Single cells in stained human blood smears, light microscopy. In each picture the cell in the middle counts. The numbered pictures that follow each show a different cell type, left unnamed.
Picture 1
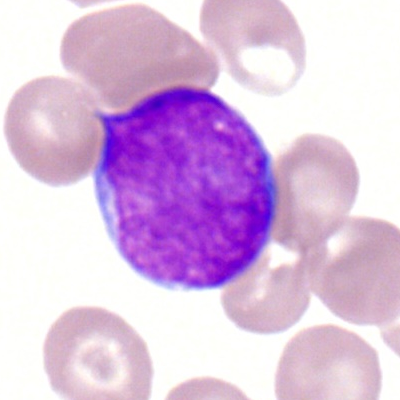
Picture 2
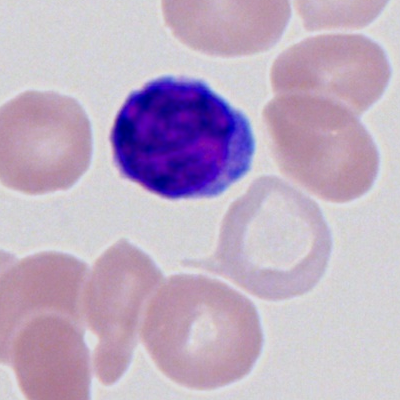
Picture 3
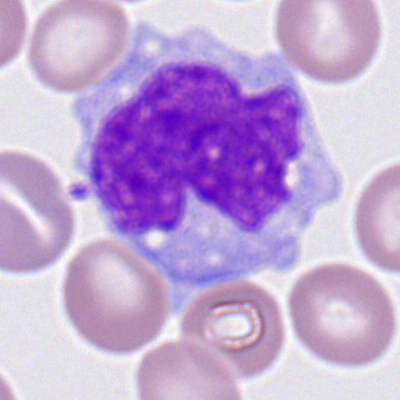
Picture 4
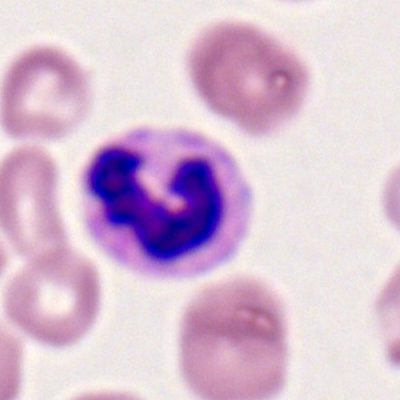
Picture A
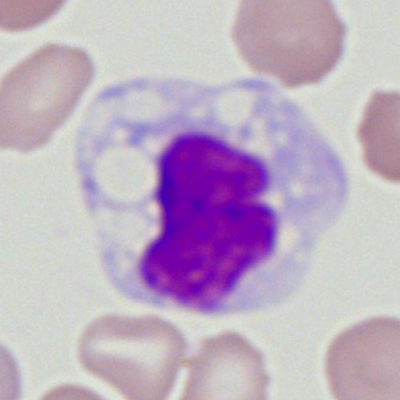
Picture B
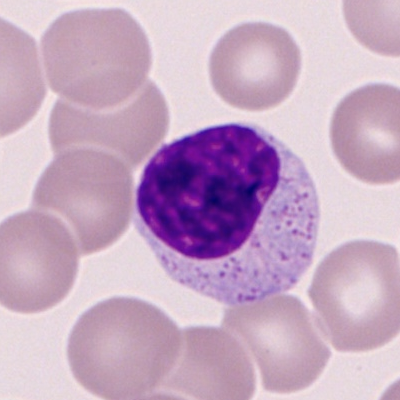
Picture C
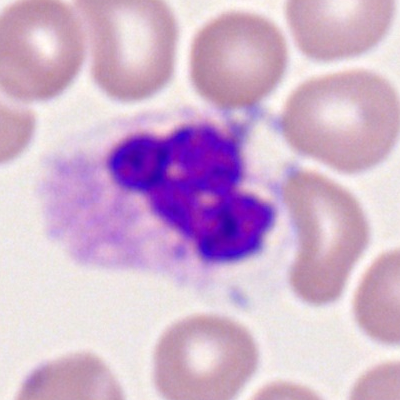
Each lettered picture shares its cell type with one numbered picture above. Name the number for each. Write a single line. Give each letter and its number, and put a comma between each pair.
A 3, B 2, C 4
